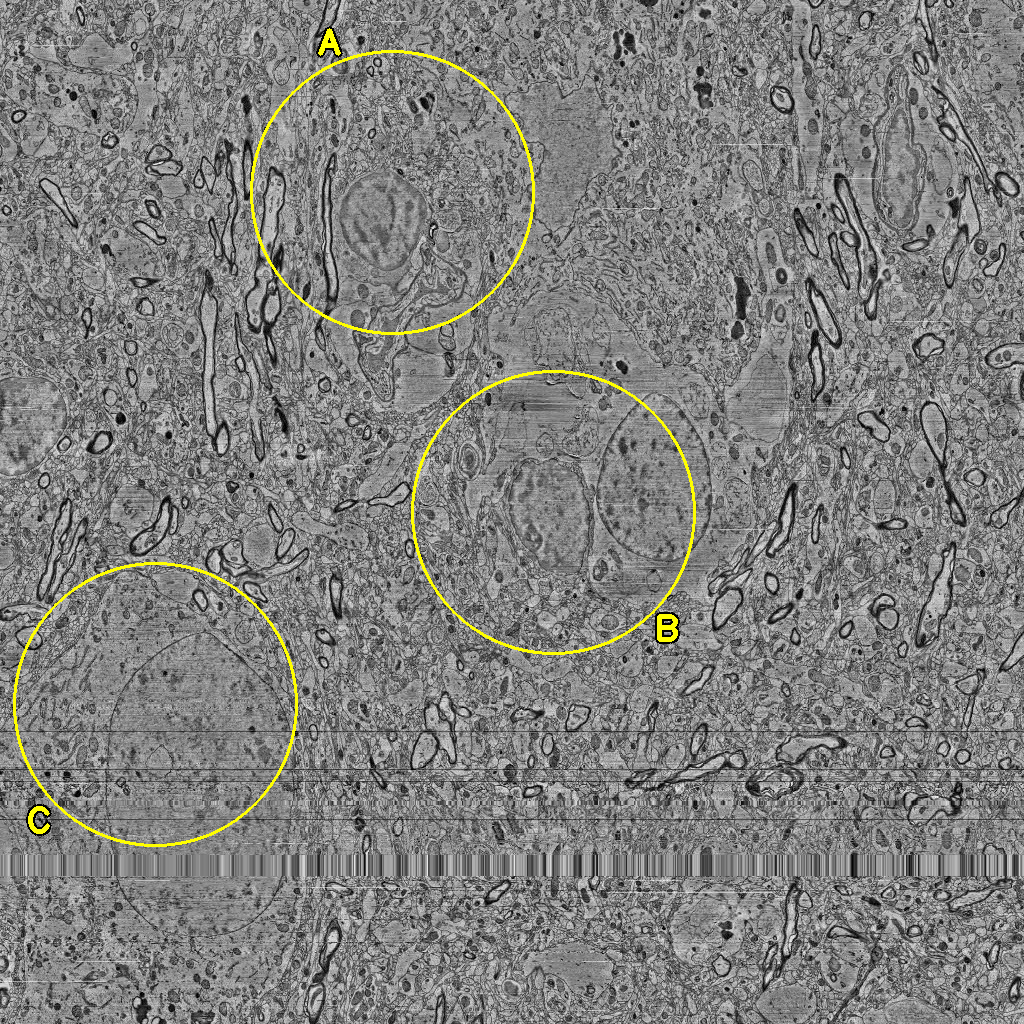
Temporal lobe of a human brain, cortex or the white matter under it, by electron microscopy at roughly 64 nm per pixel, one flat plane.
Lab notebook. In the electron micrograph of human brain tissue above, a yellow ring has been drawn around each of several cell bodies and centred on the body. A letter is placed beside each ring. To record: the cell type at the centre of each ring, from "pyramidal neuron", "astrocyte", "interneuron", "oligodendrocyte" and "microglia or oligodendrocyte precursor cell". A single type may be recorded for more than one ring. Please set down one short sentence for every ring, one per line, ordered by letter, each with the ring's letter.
The centre of ring A is occupied by an oligodendrocyte.
The centre of ring B is occupied by an oligodendrocyte.
The centre of ring C is occupied by a pyramidal neuron.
